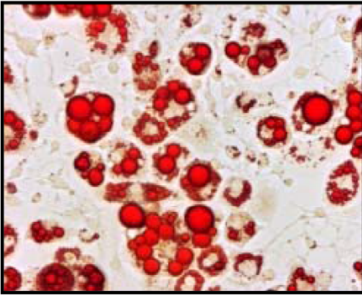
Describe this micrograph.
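Mature fat cells in culture are packed with lipid droplets that stain bright red. The droplets are round and vary widely in size, from fine dots to large globules. Many cells contain one or a few large droplets surrounded by smaller ones. Others show rings of small droplets. The pale background between the cells is unstained.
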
